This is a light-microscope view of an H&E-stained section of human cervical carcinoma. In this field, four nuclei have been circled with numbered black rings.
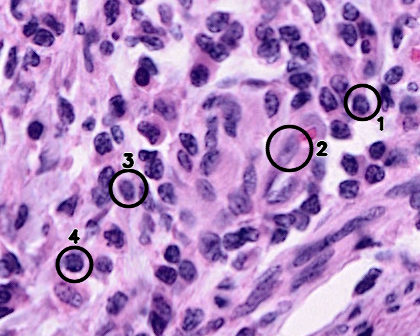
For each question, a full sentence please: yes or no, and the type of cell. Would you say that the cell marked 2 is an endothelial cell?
Yes, the cell with its nucleus marked 2 is an endothelial cell.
